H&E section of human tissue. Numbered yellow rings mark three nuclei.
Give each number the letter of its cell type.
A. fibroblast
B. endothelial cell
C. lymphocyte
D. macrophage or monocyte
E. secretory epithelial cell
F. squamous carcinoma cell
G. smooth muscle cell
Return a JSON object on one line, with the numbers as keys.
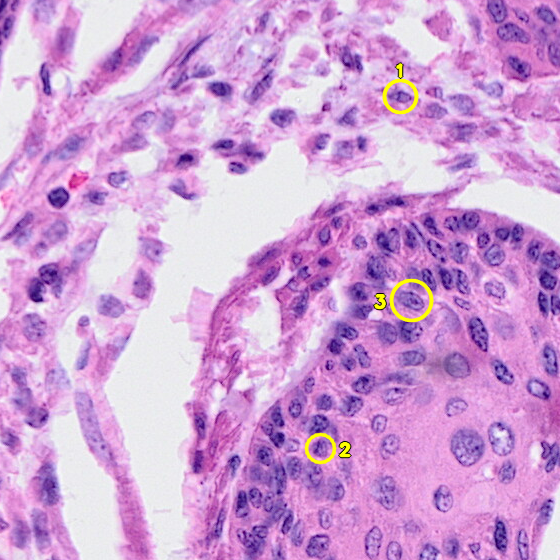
{"1": "A", "2": "F", "3": "F"}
